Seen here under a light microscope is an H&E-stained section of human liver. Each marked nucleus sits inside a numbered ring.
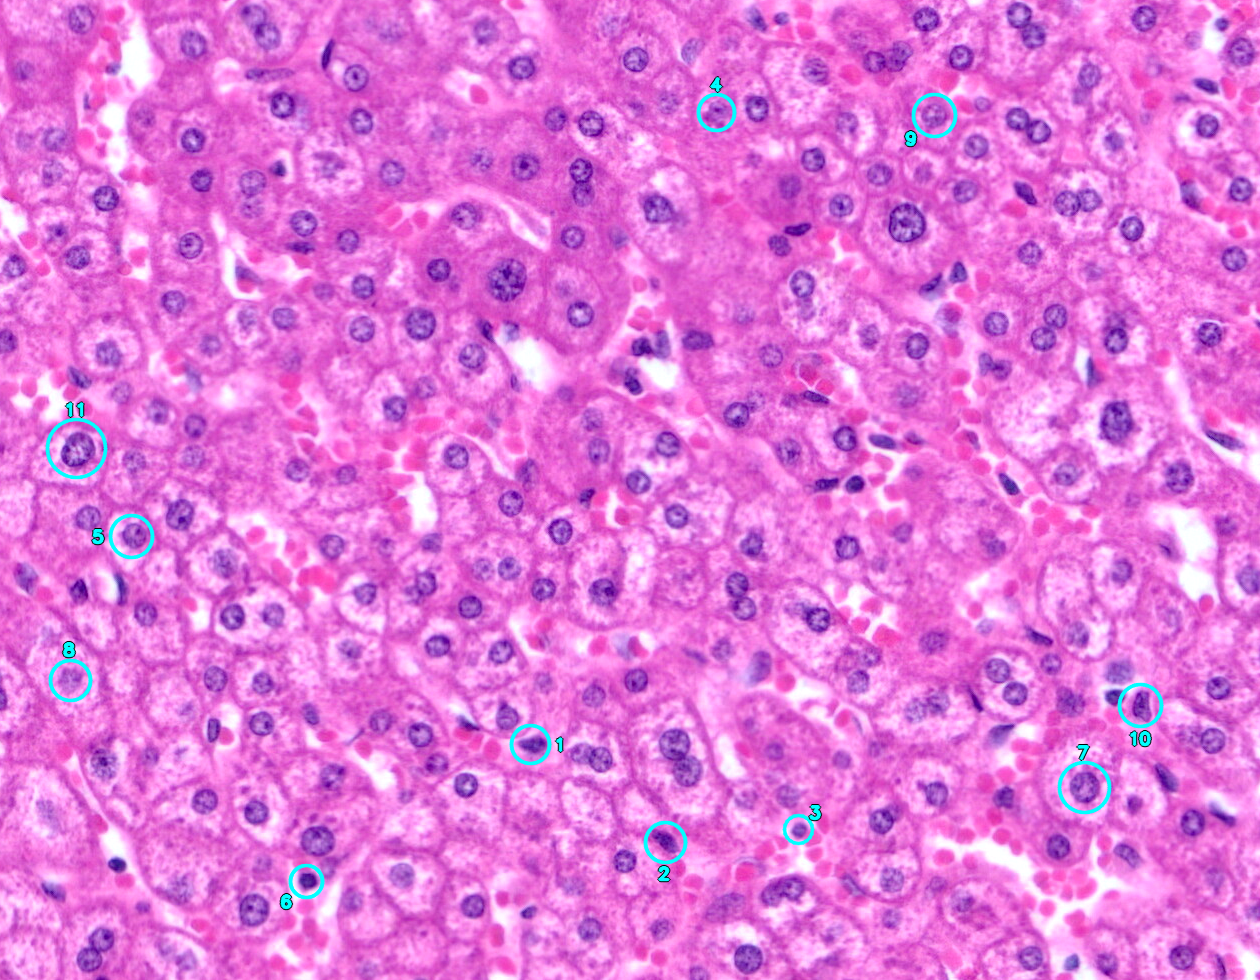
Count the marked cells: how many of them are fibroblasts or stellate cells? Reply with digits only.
1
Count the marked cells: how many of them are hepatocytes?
6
